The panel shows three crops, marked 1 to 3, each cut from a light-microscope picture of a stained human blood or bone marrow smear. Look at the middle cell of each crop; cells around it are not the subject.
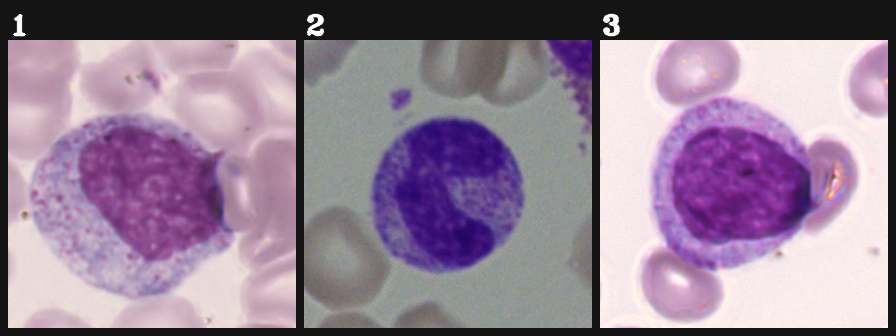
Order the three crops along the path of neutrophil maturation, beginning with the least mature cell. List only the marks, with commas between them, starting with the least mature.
1, 3, 2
